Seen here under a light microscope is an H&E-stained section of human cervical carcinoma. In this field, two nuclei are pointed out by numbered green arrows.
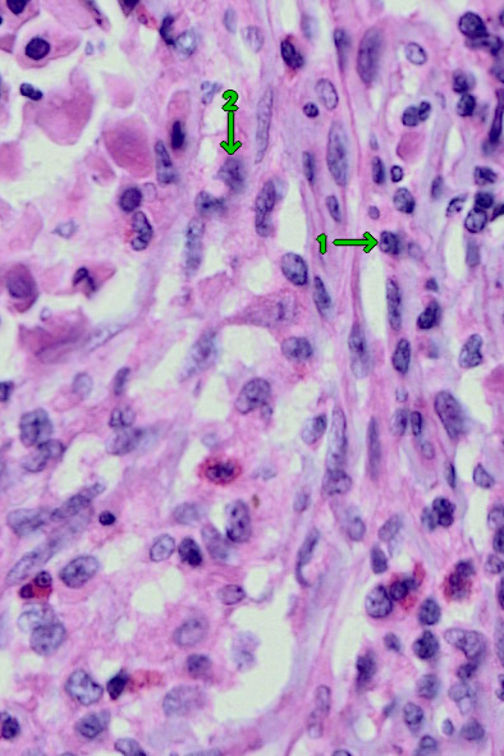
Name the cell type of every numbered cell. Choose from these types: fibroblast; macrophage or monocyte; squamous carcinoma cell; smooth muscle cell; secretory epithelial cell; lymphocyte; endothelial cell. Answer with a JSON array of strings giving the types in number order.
["lymphocyte", "macrophage or monocyte"]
